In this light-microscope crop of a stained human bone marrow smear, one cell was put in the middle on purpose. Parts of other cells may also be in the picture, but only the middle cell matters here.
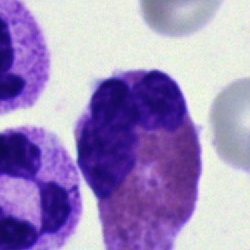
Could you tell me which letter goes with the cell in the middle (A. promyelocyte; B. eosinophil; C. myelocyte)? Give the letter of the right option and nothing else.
B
